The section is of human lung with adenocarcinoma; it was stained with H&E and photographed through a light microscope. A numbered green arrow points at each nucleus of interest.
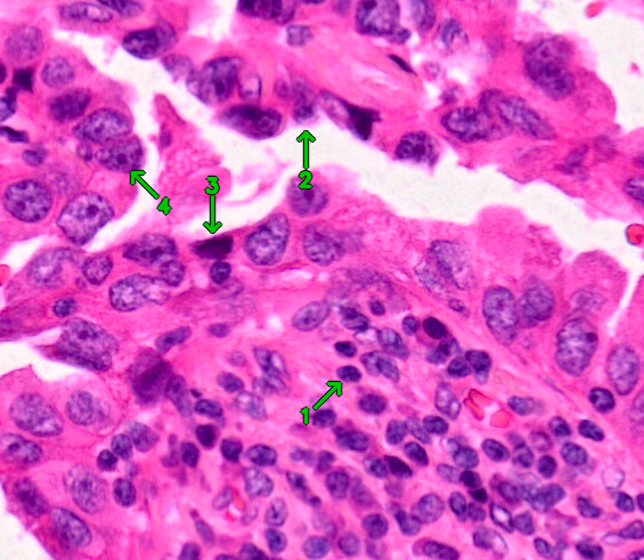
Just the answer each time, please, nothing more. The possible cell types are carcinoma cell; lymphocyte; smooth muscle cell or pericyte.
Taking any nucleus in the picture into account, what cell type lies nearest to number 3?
lymphocyte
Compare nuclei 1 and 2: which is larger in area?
2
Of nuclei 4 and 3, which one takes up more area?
4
